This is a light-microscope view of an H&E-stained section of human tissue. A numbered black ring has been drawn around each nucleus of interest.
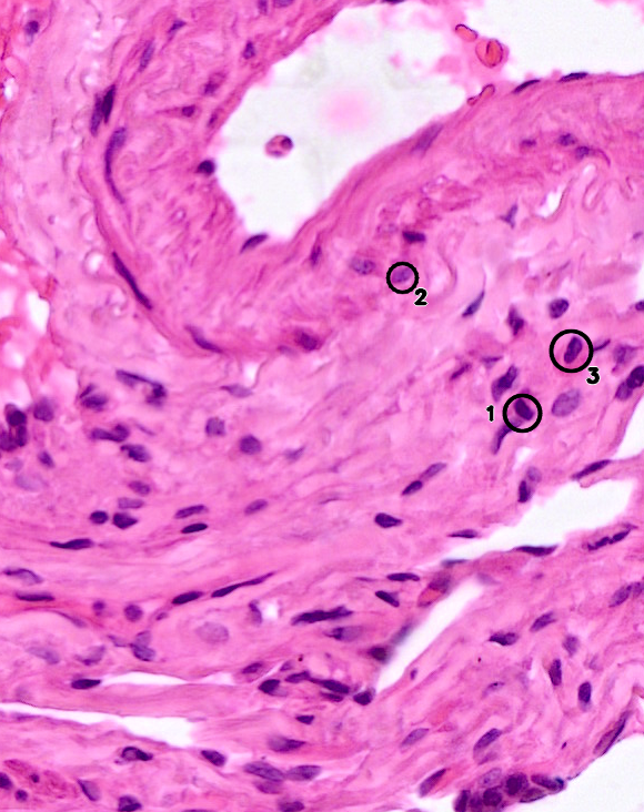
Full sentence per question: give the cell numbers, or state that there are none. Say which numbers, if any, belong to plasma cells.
As for the numbered cells, only cell 1 is a plasma cell.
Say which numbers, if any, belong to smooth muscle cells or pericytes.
Cell 2, and no other numbered cell, is a smooth muscle cell or pericyte.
